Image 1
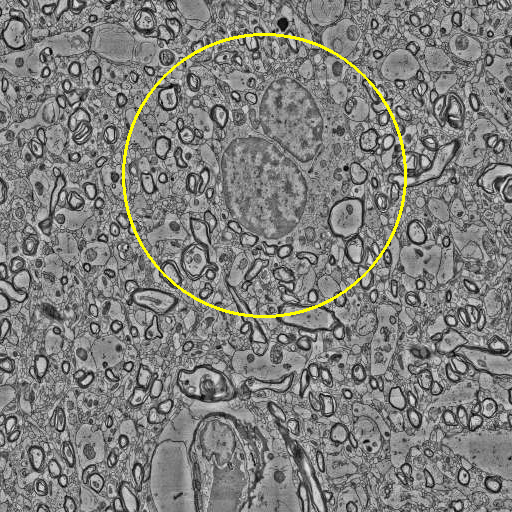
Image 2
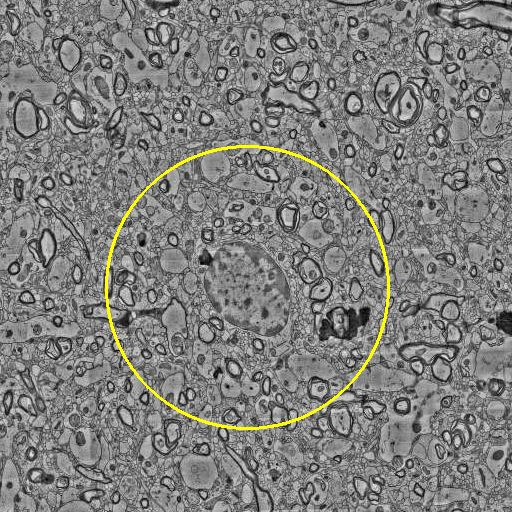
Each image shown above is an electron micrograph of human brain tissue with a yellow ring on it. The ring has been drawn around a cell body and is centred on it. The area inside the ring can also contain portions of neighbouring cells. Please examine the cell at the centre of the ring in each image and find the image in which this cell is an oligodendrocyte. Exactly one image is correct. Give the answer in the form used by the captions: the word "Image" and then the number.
Image 1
